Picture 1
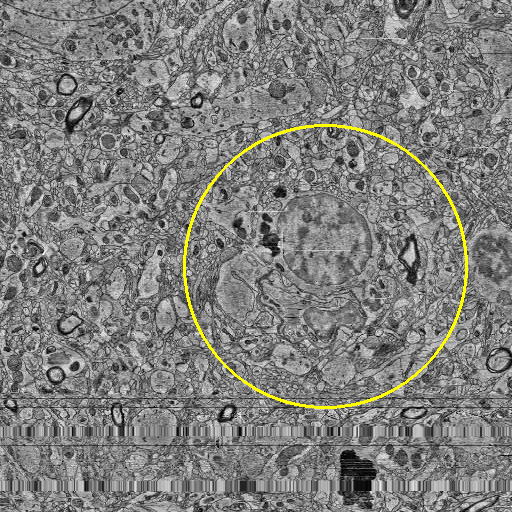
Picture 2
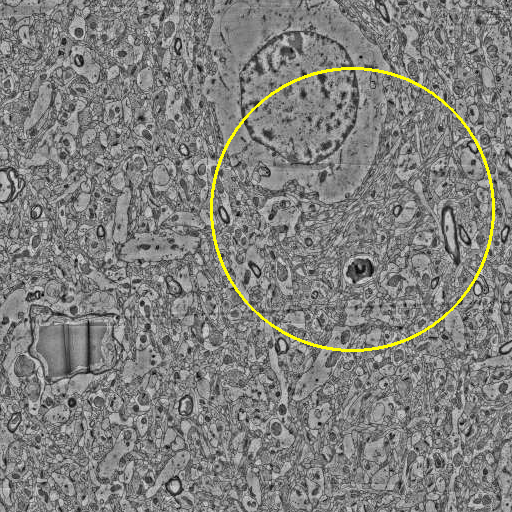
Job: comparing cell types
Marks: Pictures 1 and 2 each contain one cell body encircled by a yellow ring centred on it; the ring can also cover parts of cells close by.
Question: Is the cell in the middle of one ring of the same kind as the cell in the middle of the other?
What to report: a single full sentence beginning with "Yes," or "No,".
Yes, the cell at the ring centre in Picture 1 and its partner in Picture 2 are of one kind.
